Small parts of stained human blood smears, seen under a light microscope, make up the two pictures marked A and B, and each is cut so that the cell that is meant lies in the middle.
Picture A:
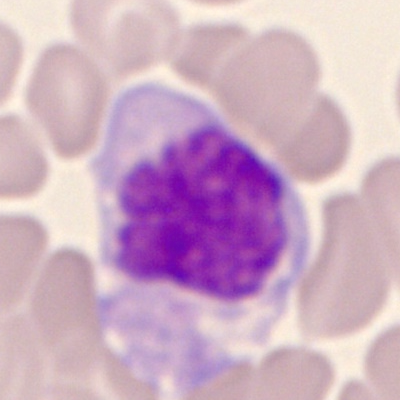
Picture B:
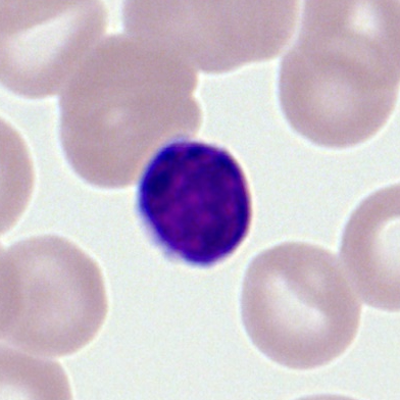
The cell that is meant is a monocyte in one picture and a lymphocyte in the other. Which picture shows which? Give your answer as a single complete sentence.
Picture A shows a monocyte and picture B shows a lymphocyte.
